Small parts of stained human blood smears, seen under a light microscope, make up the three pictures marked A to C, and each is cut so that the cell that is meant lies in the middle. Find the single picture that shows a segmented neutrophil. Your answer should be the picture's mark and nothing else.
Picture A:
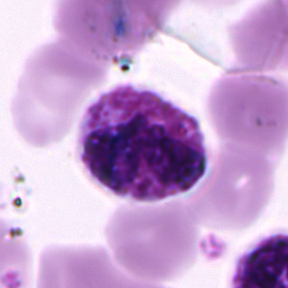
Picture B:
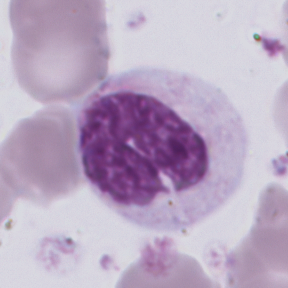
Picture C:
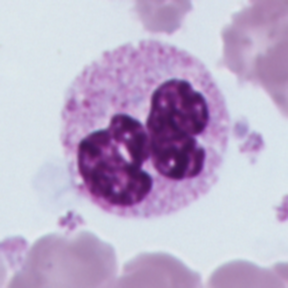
C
